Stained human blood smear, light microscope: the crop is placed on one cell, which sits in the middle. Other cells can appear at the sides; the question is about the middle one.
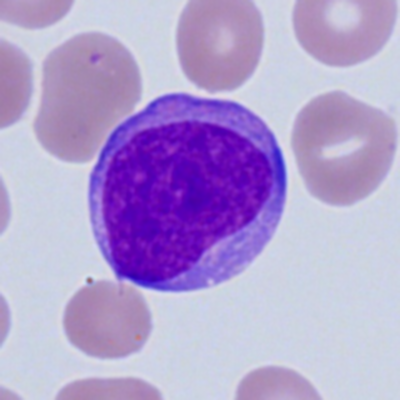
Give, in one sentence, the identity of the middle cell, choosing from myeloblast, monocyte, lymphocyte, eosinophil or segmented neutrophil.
The middle cell in this particular crop is a myeloblast.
